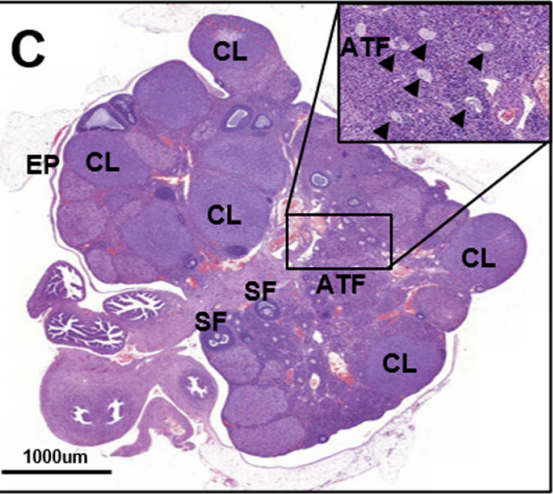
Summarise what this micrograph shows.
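This is a section of a whole ovary stained pink and purple, dominated by many large rounded corpora lutea. Only a few growing follicles with small cavities are seen between them. In the center many small pale empty spaces are scattered in the stroma; the inset enlarges this region and the arrowheads point to these small round pale atretic follicles. Healthy follicles with many-layered walls are far fewer than expected. A thin surface epithelium surrounds the organ, and coiled tubular tissue with folded lining lies at the lower left.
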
